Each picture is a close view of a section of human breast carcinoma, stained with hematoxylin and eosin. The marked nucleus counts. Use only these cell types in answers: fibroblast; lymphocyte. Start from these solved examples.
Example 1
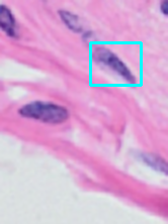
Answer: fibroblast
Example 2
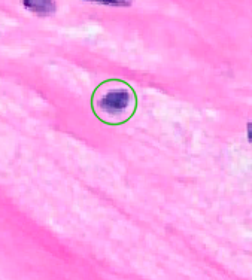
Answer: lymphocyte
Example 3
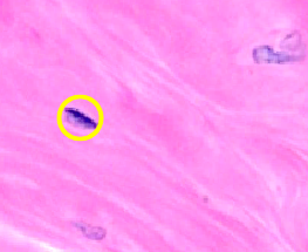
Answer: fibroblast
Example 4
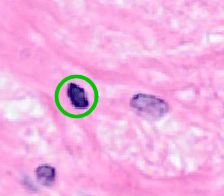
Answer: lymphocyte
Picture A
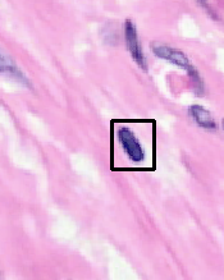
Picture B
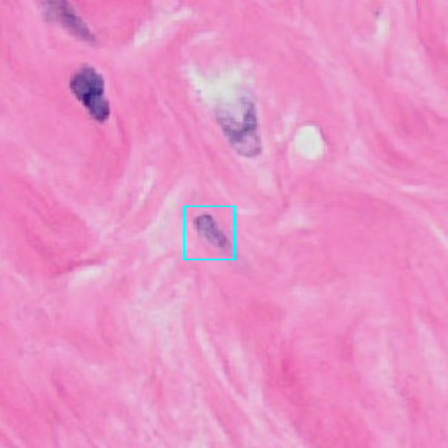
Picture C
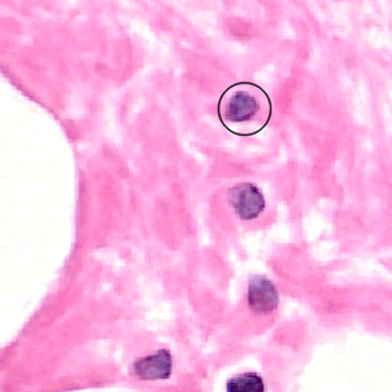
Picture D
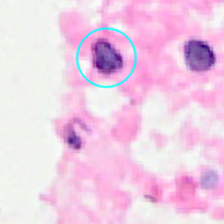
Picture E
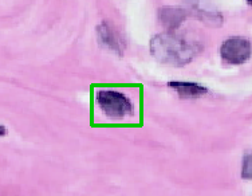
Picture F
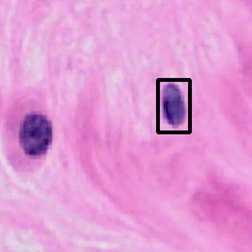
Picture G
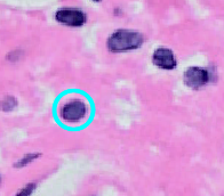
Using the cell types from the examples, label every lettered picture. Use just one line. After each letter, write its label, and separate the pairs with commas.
A lymphocyte, B fibroblast, C lymphocyte, D lymphocyte, E lymphocyte, F lymphocyte, G lymphocyte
